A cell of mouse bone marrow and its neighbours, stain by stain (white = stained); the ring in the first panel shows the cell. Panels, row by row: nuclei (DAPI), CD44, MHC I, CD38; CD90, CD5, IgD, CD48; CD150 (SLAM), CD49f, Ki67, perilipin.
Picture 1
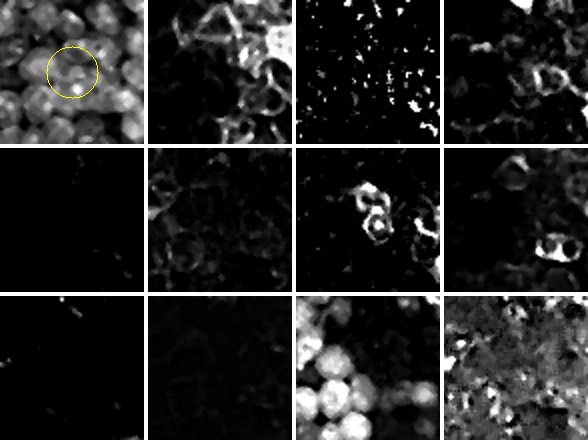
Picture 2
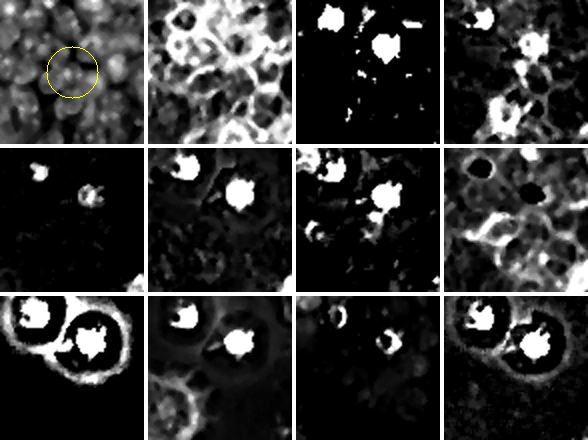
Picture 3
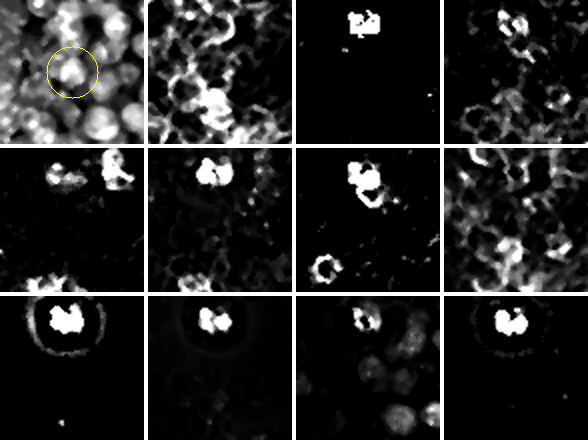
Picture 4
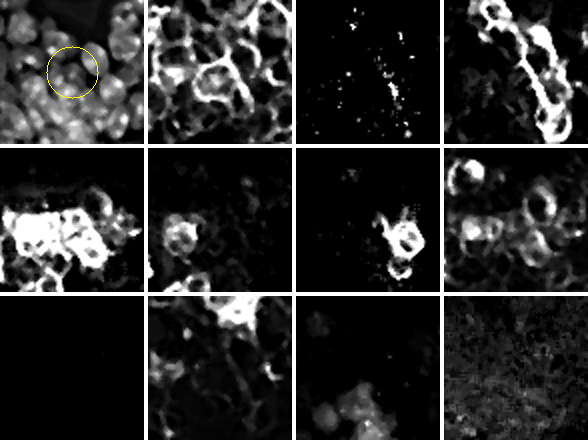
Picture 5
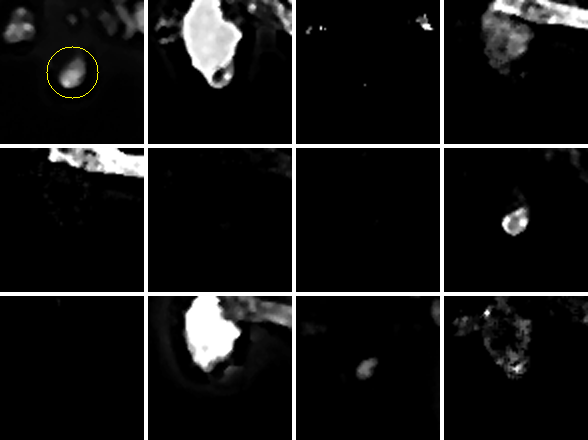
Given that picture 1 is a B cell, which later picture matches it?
2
